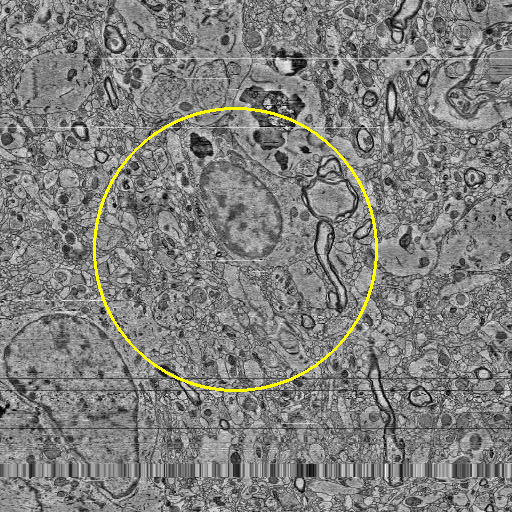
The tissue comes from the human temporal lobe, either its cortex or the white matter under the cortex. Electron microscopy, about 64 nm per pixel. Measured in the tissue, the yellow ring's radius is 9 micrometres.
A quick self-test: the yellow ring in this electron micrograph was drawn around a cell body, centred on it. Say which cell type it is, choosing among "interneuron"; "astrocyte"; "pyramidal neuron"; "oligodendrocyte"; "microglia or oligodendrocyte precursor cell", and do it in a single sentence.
The yellow-ringed cell is an oligodendrocyte.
